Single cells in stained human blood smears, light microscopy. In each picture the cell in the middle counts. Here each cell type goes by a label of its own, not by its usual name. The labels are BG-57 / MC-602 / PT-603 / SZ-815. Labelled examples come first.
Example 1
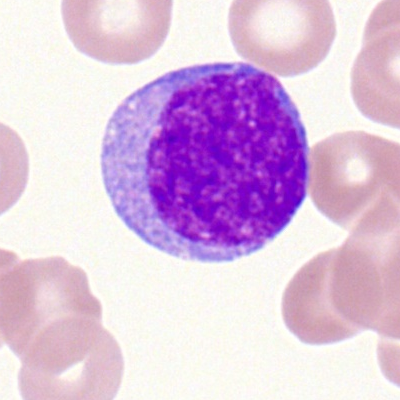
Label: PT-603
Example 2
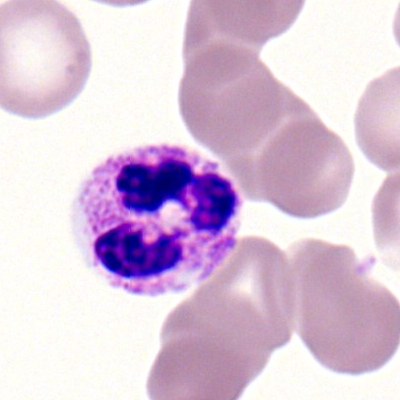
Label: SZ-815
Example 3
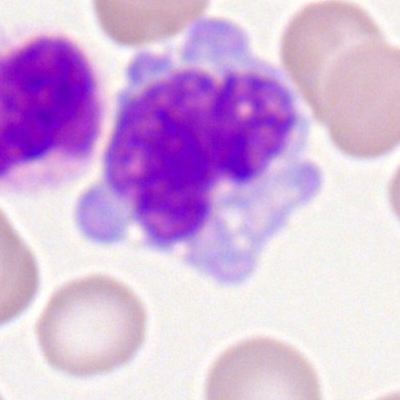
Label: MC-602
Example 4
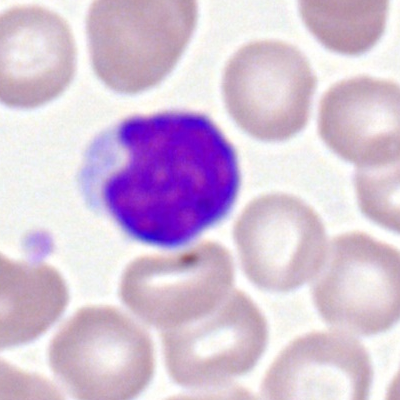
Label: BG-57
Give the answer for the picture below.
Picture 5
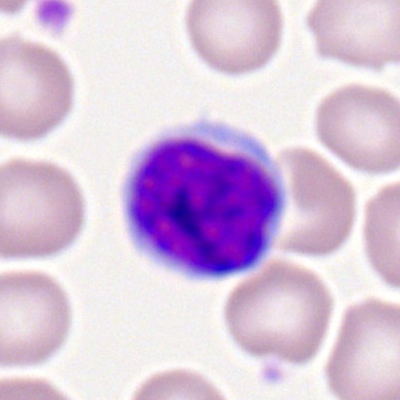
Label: BG-57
